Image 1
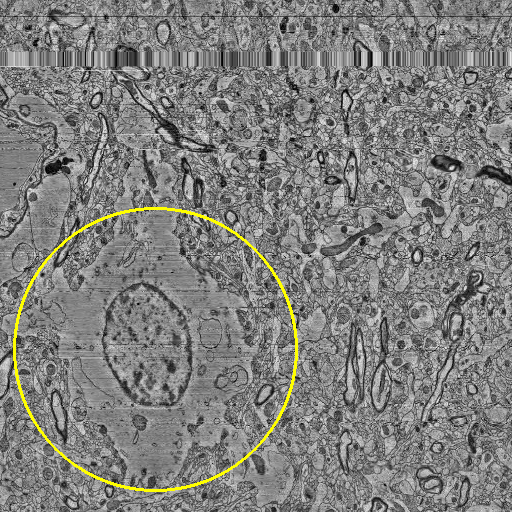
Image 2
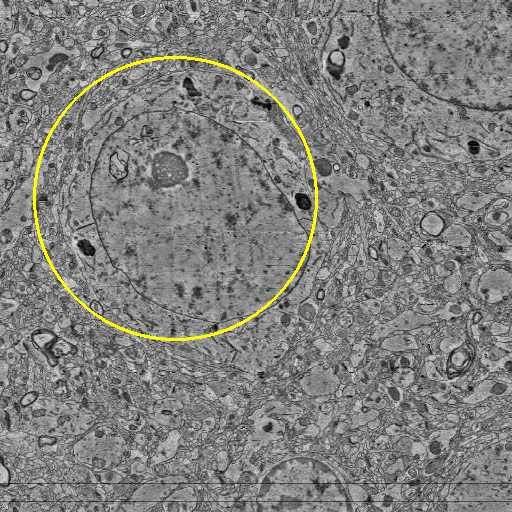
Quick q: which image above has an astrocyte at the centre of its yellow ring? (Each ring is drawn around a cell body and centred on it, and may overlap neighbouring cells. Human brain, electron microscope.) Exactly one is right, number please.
1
